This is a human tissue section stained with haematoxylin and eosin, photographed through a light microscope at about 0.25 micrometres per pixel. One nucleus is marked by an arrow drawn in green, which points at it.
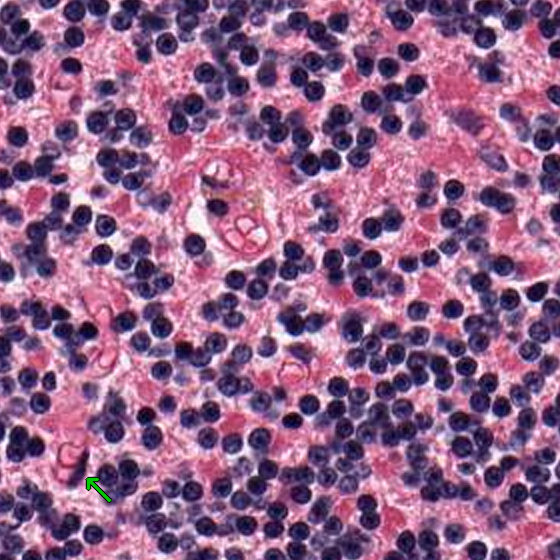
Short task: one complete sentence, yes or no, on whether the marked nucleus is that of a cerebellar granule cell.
No, it is not a cerebellar granule cell that owns the marked nucleus but a supporting cell.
